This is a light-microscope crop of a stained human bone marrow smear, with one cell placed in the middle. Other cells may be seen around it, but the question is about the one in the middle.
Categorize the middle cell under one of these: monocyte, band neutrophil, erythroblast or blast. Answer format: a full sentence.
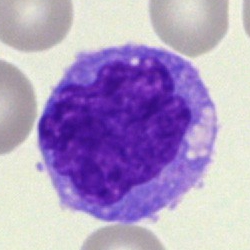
The cell at the centre of the field is a monocyte.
